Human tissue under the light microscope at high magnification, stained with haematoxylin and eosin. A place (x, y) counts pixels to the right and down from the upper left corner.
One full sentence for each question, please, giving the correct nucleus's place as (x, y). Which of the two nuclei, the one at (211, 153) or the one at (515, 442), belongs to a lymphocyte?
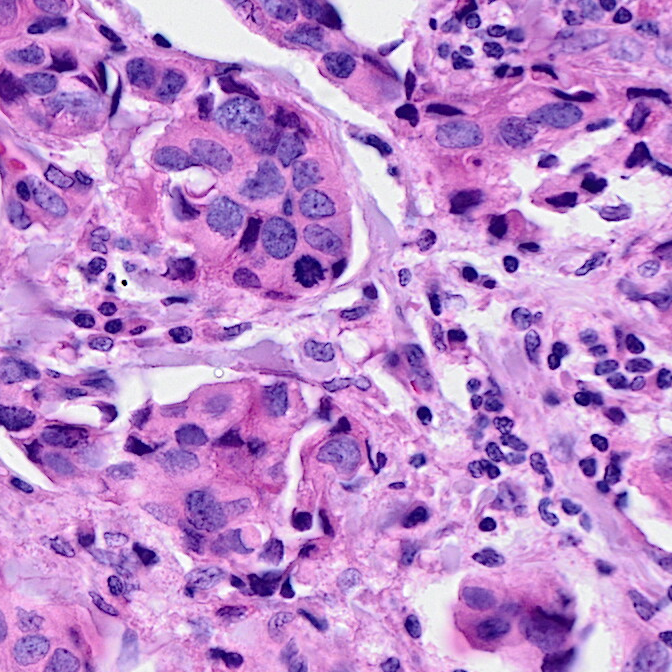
The nucleus at (515, 442), rather than the other one, belongs to a lymphocyte.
